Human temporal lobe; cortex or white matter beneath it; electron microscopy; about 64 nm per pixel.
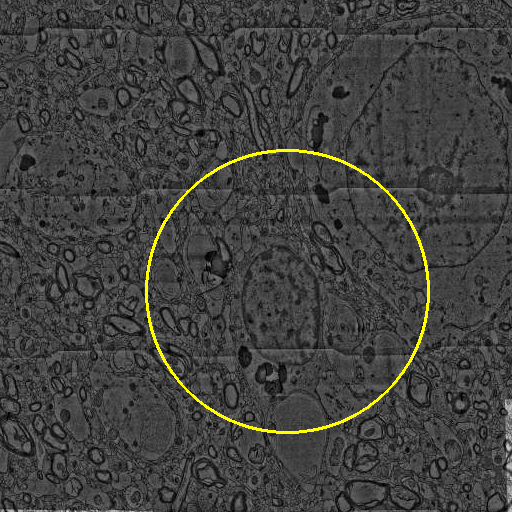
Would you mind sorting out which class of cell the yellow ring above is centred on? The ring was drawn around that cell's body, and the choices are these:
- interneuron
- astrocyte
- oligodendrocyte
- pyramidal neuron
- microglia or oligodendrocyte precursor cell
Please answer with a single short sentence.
This is the cell body of an oligodendrocyte.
